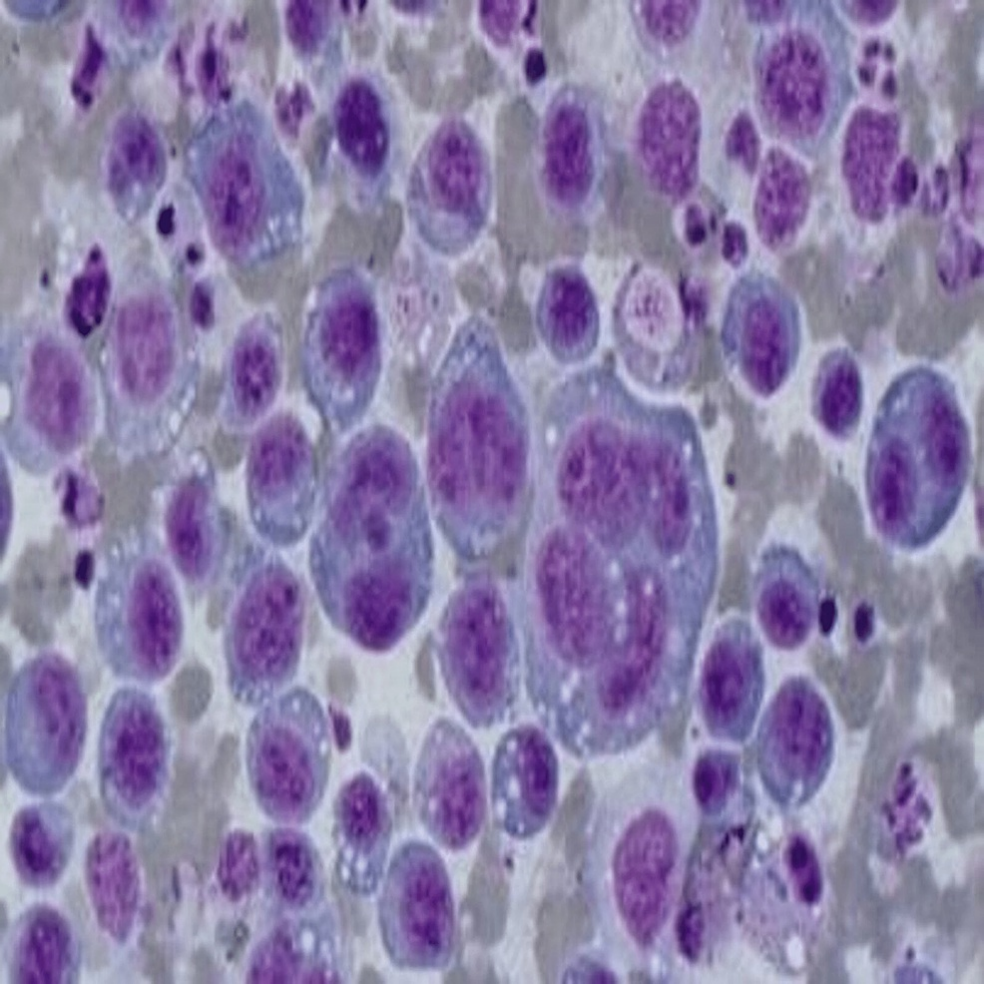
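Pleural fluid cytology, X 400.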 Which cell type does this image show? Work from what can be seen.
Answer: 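Numerous large round to oval cells with abundant blue cytoplasm. Nuclei are round and often placed off-centre. Many cells have small clear vacuoles in the cytoplasm. So: atypical plasma cells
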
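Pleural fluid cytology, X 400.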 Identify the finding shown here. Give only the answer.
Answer: binucleation and multinucleation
